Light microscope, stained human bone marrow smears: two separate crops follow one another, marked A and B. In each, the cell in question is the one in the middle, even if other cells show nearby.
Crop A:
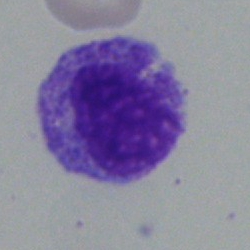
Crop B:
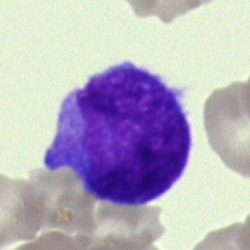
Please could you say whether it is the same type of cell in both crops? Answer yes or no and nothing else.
no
